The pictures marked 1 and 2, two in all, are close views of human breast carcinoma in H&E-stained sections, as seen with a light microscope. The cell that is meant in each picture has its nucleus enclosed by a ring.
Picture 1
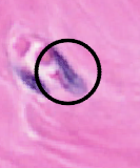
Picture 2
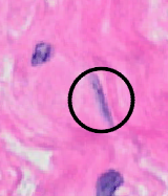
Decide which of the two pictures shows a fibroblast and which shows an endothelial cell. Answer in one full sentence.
In picture 1 the cell is an endothelial cell; in picture 2, a fibroblast.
